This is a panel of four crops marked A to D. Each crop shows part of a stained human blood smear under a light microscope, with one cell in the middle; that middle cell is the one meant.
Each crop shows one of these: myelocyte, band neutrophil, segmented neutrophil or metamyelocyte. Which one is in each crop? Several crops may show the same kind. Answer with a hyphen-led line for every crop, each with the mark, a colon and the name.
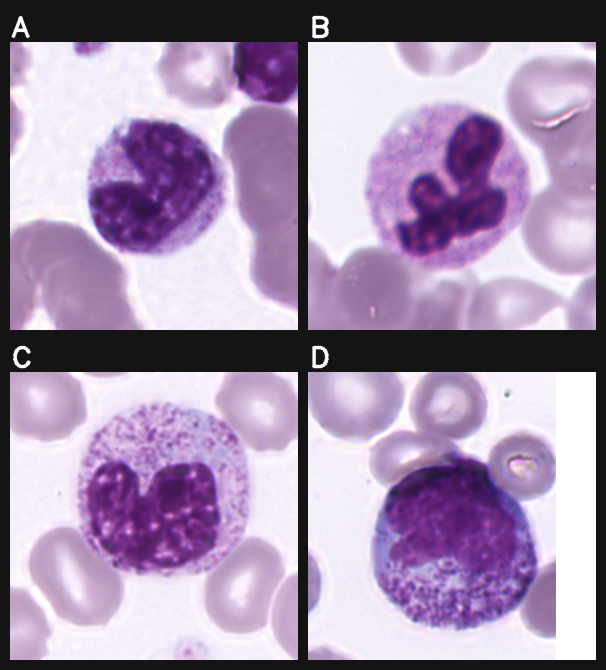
- A: metamyelocyte
- B: segmented neutrophil
- C: metamyelocyte
- D: myelocyte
